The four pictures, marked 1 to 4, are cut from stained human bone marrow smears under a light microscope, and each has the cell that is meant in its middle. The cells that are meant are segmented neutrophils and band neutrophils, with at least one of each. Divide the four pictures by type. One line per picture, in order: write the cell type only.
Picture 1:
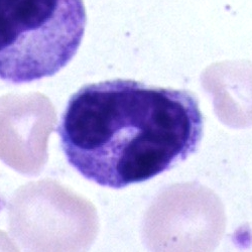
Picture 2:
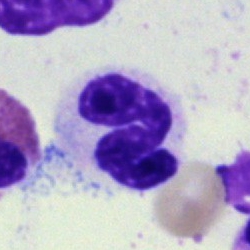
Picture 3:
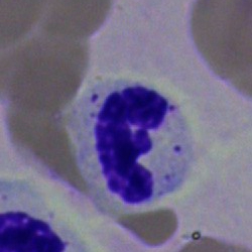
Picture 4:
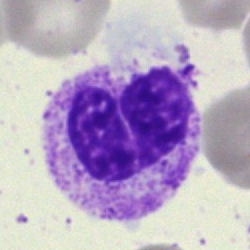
band neutrophil
segmented neutrophil
segmented neutrophil
band neutrophil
